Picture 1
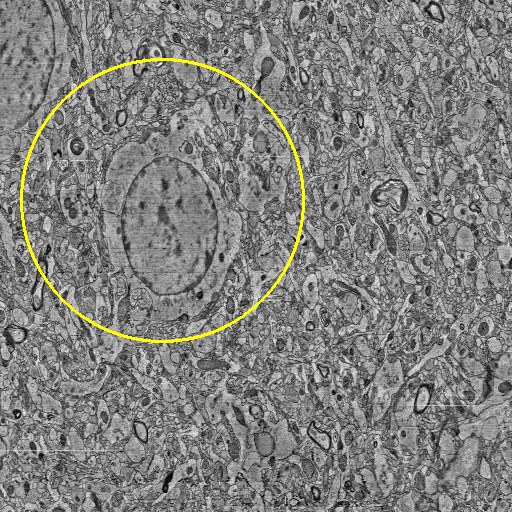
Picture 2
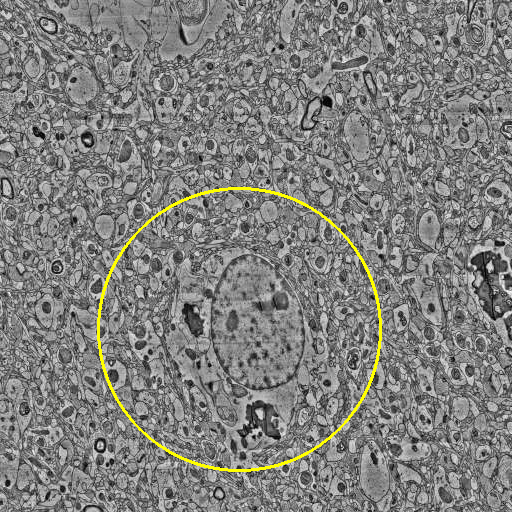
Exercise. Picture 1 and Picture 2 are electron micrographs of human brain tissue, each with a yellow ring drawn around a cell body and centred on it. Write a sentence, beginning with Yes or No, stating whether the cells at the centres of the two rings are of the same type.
Yes, the cells at the centres of both rings are of the same type.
